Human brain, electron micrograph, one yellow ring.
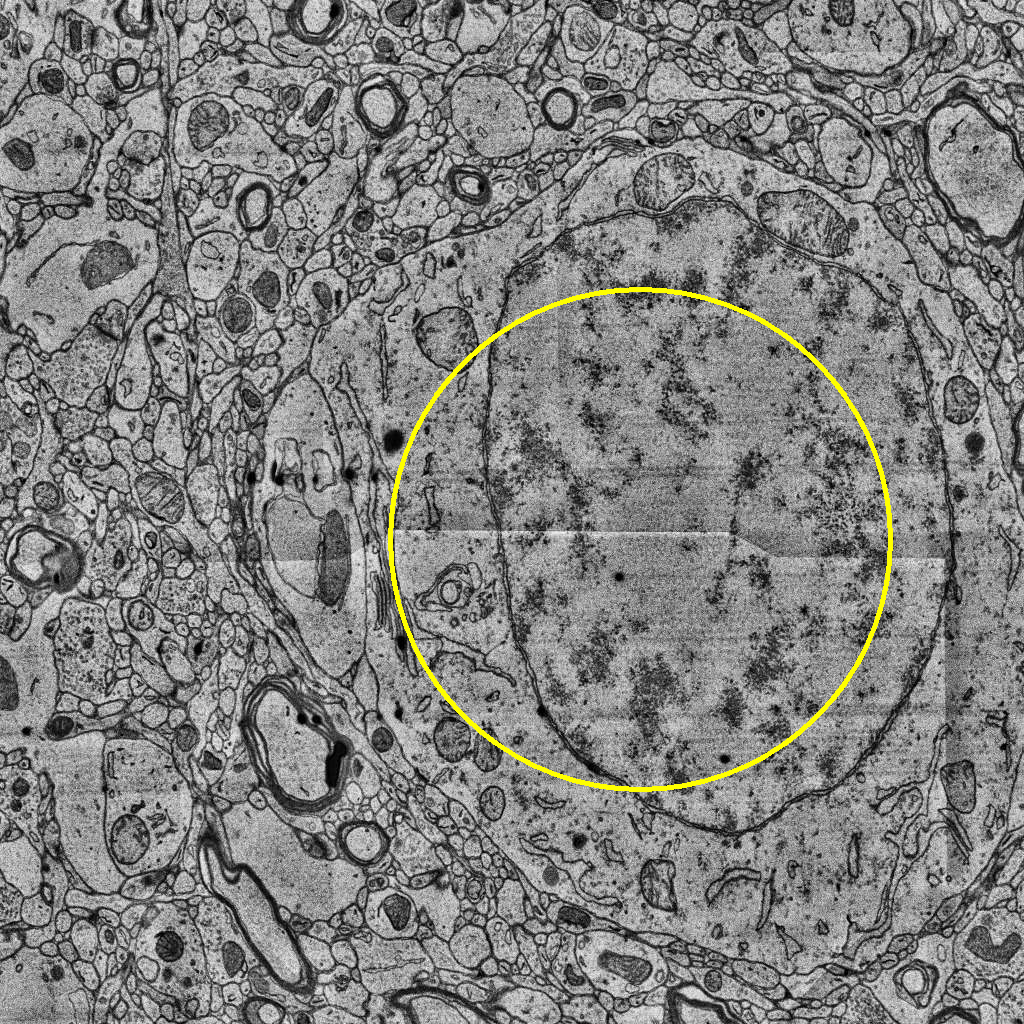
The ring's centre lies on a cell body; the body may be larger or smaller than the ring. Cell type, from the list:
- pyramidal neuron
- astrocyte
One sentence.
The yellow ring's centre lies on a pyramidal neuron.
